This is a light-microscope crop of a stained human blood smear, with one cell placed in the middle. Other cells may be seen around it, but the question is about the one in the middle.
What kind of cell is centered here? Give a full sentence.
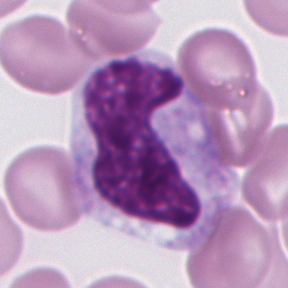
The cell that lies at the centre of the crop is a band neutrophil.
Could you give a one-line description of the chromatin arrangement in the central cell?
The chromatin remains finely textured, with no coarse clumps to speak of.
